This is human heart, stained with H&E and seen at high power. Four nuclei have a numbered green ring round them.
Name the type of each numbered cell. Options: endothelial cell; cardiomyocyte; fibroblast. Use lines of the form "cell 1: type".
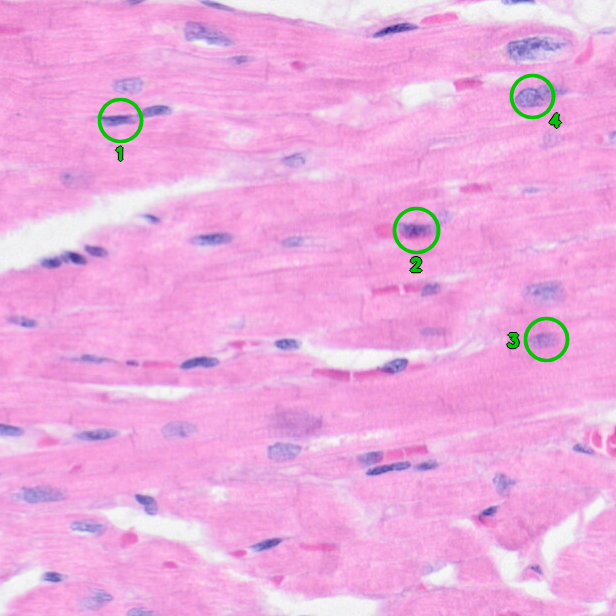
cell 1: endothelial cell
cell 2: endothelial cell
cell 3: cardiomyocyte
cell 4: cardiomyocyte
